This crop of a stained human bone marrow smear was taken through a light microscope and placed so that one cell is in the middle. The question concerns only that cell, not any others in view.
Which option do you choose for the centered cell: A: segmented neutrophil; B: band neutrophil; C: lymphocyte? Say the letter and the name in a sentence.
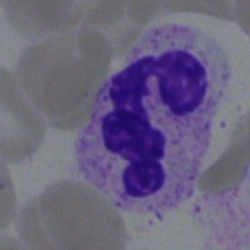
Option A is correct here, and the cell in the middle is a segmented neutrophil.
